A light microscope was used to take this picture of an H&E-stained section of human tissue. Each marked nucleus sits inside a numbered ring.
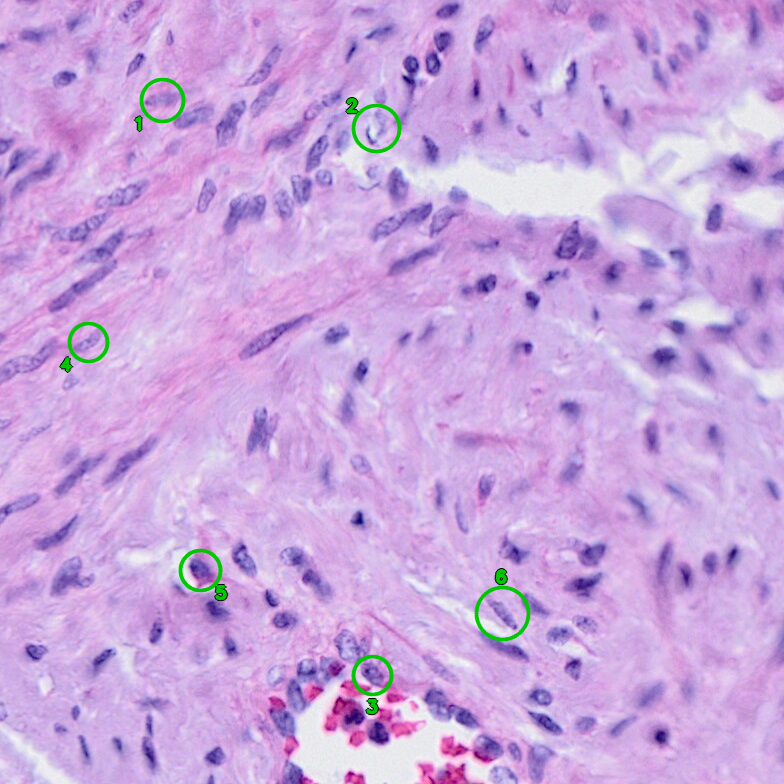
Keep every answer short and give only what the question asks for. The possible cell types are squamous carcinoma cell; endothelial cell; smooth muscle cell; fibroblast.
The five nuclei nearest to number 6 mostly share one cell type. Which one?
fibroblast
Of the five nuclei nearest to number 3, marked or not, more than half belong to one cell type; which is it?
endothelial cell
